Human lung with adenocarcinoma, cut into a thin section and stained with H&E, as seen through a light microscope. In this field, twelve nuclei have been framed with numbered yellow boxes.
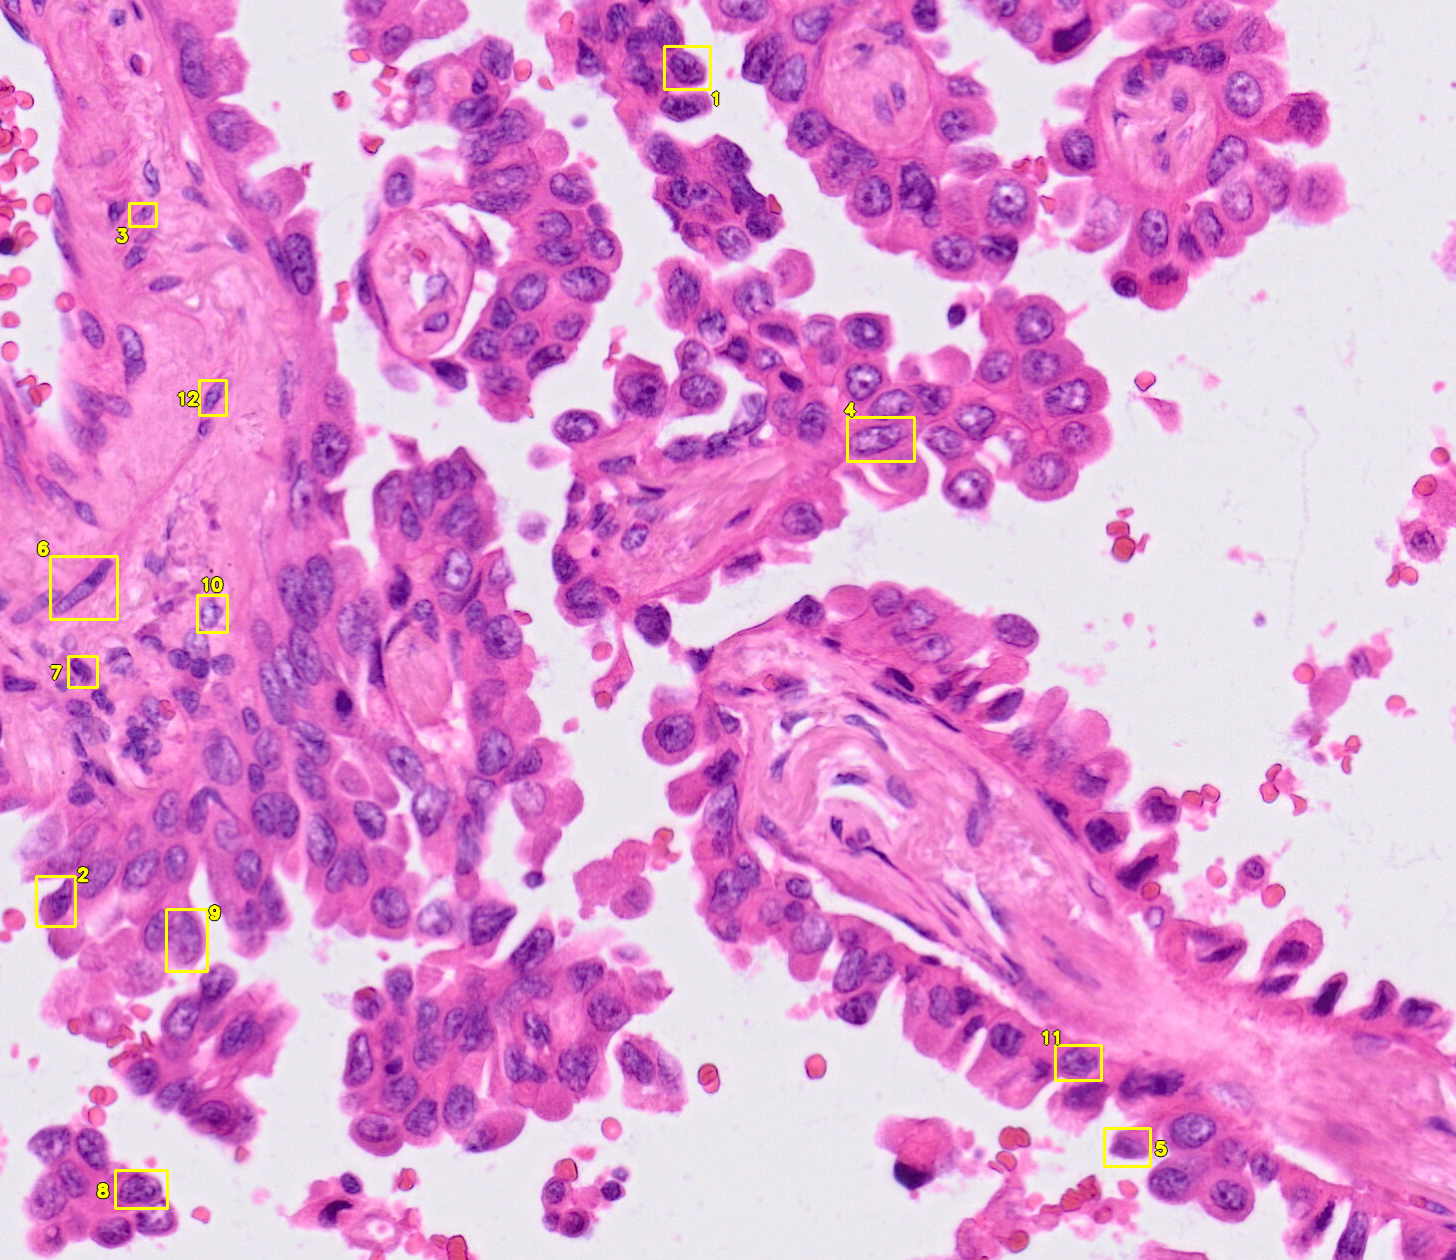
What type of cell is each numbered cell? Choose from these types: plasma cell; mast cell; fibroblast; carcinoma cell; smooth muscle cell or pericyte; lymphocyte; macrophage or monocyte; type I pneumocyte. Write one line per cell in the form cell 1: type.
cell 1: carcinoma cell
cell 2: carcinoma cell
cell 3: smooth muscle cell or pericyte
cell 4: carcinoma cell
cell 5: carcinoma cell
cell 6: smooth muscle cell or pericyte
cell 7: plasma cell
cell 8: carcinoma cell
cell 9: carcinoma cell
cell 10: fibroblast
cell 11: carcinoma cell
cell 12: smooth muscle cell or pericyte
